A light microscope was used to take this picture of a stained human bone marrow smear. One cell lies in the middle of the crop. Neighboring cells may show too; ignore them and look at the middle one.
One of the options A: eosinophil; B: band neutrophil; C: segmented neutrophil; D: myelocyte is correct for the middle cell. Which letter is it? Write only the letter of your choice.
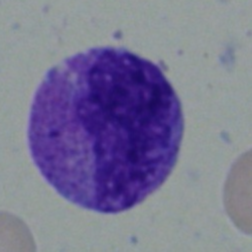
D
